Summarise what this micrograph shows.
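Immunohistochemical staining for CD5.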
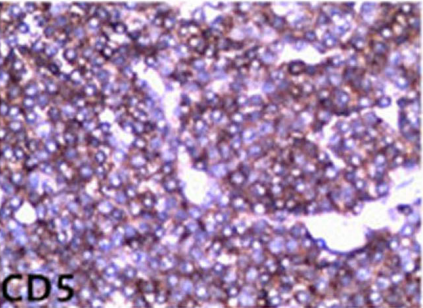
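Sheets of closely packed small round lymphoid cells with round nuclei and a thin rim of cytoplasm. Nearly every cell is ringed by brown membrane staining, giving a honeycomb pattern. A few clear spaces, likely vessels, interrupt the sheets.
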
